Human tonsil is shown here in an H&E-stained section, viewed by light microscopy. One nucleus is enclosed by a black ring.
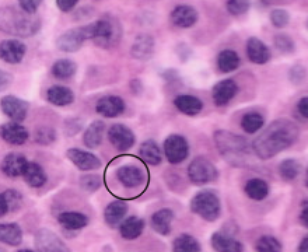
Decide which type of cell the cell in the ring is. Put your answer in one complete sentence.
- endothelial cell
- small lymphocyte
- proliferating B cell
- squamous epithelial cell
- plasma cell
As a matter of cell type, the cell in the ring is a plasma cell.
